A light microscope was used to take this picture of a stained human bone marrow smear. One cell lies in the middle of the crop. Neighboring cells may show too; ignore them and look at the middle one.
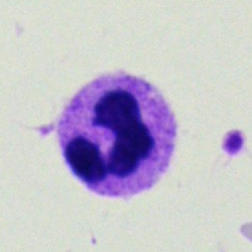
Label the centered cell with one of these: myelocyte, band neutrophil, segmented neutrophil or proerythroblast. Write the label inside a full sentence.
The crop centres on a single cell, and that cell is a segmented neutrophil.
